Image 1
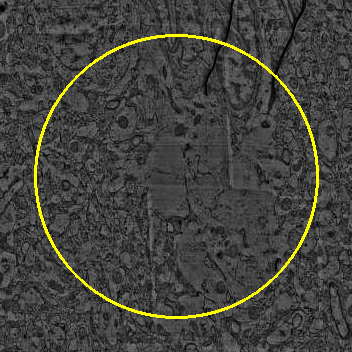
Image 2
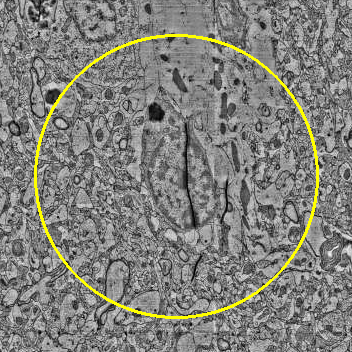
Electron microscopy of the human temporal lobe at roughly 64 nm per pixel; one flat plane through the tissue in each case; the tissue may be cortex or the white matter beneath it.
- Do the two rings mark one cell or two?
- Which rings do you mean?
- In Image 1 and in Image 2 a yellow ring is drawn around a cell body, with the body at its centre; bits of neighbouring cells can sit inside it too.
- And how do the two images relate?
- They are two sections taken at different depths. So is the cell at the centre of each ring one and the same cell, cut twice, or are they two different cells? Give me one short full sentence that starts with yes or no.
Yes, one cell appears twice, once in each ring.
